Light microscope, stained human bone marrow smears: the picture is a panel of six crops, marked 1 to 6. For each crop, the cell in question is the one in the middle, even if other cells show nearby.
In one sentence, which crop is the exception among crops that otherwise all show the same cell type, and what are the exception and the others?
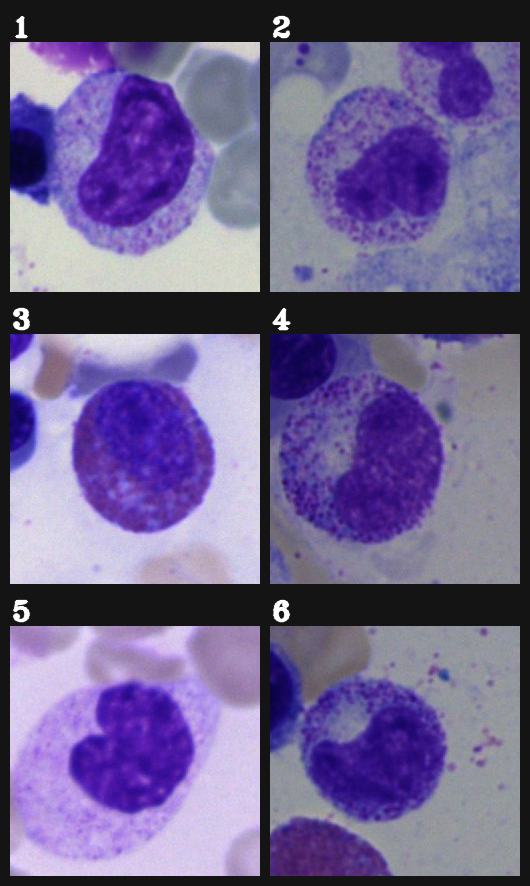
Crop 3 is an eosinophil, while the rest of the set consists of metamyelocytes.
